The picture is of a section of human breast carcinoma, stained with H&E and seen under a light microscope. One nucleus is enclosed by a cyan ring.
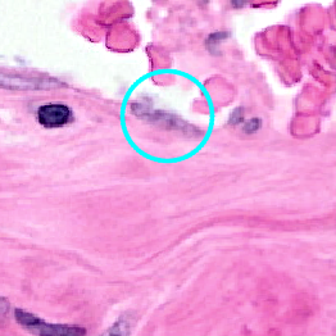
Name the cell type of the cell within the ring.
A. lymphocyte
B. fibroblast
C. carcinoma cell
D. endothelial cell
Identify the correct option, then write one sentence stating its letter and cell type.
It is correct to say that the cell within the ring is an endothelial cell, as option D does.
